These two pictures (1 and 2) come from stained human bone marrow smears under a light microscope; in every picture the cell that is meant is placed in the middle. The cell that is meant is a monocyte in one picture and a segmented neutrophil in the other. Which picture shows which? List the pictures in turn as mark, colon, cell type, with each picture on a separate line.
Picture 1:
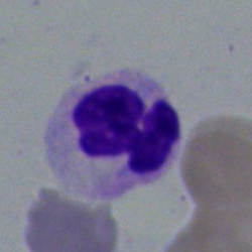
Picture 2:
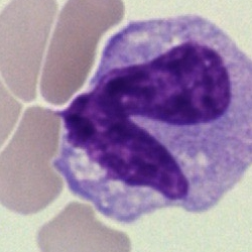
1: segmented neutrophil
2: monocyte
